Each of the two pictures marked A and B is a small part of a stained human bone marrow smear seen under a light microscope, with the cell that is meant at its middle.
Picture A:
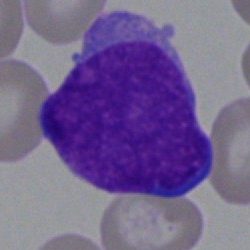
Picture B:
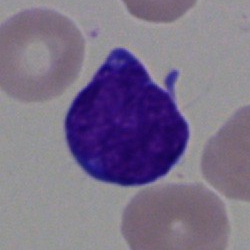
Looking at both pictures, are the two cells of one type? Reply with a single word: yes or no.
yes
